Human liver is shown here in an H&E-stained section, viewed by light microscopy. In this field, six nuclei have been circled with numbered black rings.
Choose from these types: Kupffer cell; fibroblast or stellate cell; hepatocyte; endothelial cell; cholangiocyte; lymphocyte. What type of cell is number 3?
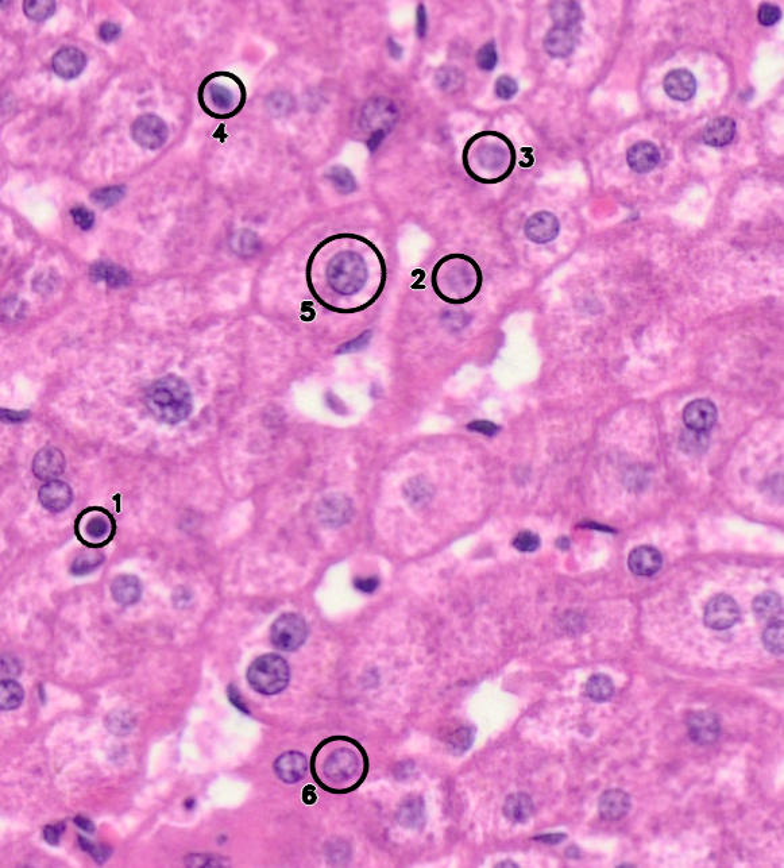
hepatocyte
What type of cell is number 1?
lymphocyte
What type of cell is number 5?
hepatocyte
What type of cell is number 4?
fibroblast or stellate cell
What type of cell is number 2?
hepatocyte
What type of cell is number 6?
hepatocyte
